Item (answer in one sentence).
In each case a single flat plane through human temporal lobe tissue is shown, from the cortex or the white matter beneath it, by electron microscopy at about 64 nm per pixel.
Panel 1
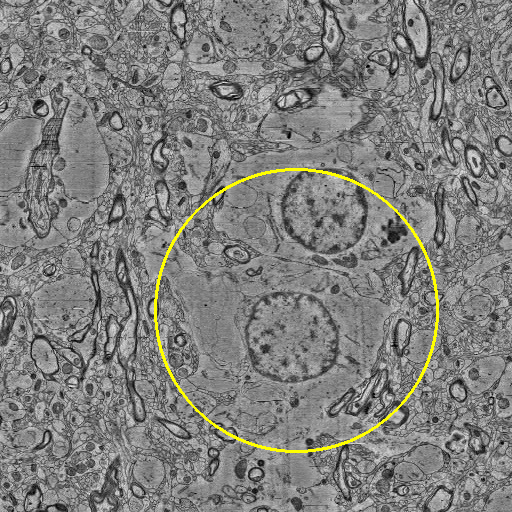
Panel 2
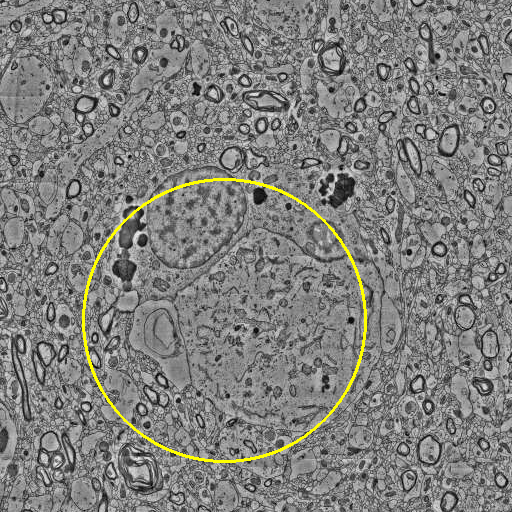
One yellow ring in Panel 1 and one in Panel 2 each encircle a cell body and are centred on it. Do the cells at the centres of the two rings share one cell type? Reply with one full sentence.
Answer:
No, Panel 1 and Panel 2 show cells of two types at the centres of their rings.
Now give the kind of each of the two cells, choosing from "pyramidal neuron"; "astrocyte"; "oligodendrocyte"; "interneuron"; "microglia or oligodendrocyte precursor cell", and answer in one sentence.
The cell in the first picture is an astrocyte, and the cell in the second is an oligodendrocyte.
